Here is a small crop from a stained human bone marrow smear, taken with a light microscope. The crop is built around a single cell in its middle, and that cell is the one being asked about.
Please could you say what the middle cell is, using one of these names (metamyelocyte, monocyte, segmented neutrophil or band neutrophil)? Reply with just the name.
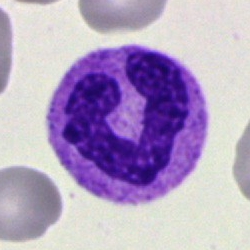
segmented neutrophil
